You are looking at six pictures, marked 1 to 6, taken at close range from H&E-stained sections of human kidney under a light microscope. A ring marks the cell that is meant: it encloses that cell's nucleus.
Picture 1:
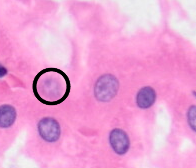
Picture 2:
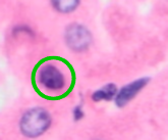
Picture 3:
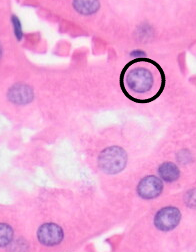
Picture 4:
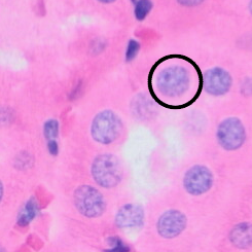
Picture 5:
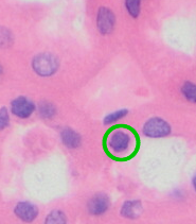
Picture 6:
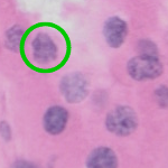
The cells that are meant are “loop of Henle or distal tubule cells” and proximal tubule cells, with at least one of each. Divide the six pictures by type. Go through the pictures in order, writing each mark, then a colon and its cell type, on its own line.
1: proximal tubule cell
2: proximal tubule cell
3: proximal tubule cell
4: loop of Henle or distal tubule cell
5: loop of Henle or distal tubule cell
6: loop of Henle or distal tubule cell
